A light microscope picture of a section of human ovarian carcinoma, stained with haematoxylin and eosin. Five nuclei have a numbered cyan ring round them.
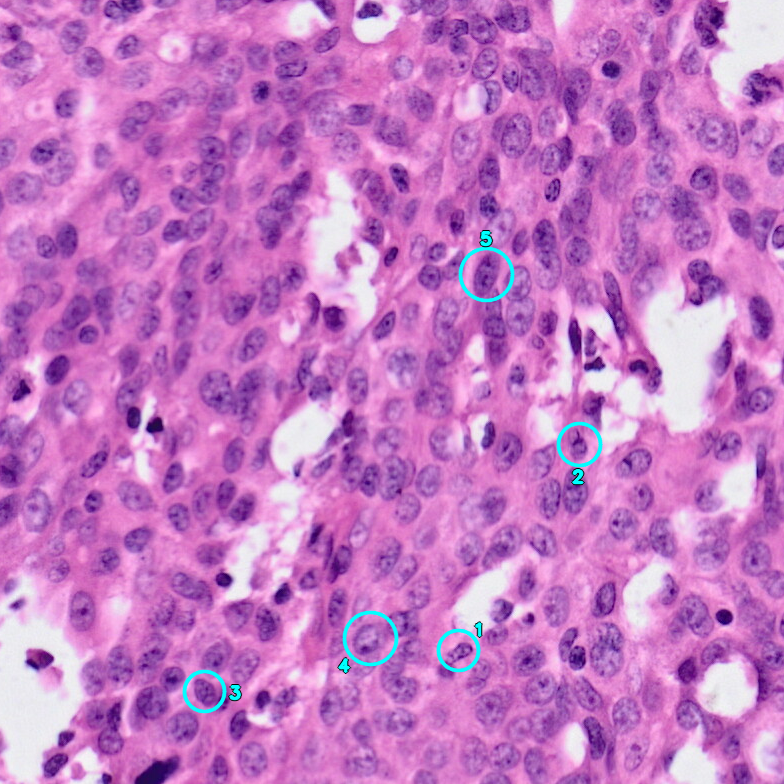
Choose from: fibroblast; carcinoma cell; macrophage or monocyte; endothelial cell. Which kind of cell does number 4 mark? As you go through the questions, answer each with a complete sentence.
The cell pointed out as number 4 is a carcinoma cell.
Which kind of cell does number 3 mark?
Corresponding to a macrophage or monocyte is the cell labelled 3.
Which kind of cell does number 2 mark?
The label 2 in this section denotes a macrophage or monocyte.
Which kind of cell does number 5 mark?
Cell 5, among those numbered, is a carcinoma cell.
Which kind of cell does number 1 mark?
The cell indicated by marker 1 is a macrophage or monocyte in this section.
